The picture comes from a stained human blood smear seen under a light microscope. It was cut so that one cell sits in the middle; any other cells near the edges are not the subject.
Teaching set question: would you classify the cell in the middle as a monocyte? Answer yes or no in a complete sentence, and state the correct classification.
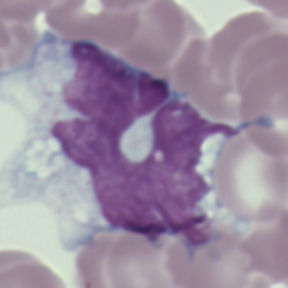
Yes, the cell here in the middle is a monocyte.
